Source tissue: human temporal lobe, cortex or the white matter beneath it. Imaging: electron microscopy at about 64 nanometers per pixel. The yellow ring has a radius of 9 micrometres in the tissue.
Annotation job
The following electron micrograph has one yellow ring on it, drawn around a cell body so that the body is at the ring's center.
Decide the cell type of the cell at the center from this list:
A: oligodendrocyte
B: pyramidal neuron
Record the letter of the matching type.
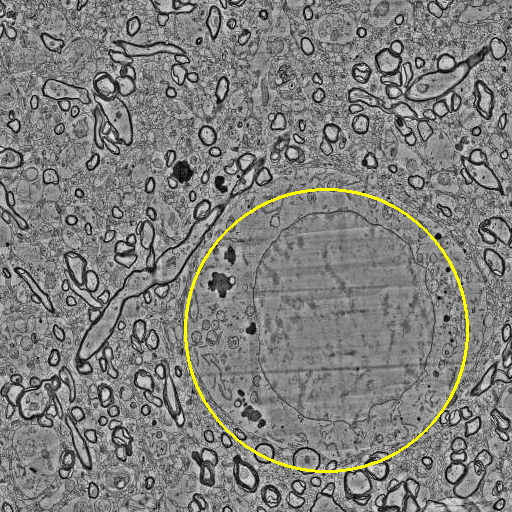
B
